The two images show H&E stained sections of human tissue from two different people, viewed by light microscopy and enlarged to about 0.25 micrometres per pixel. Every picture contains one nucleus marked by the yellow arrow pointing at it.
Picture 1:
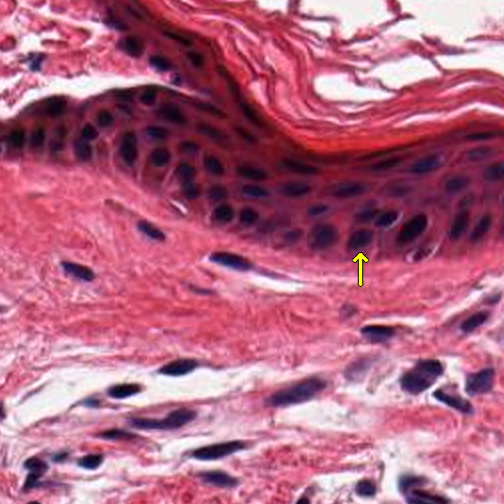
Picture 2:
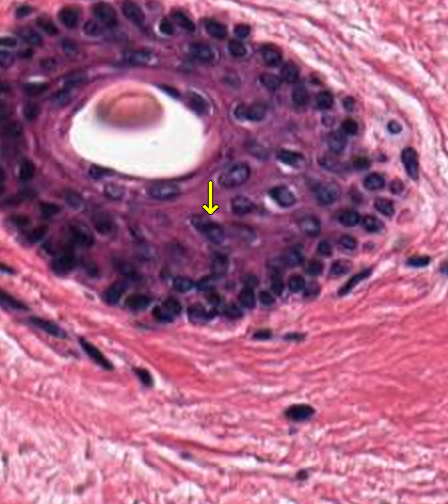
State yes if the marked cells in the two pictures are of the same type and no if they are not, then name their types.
Yes, both are keratinocytes.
